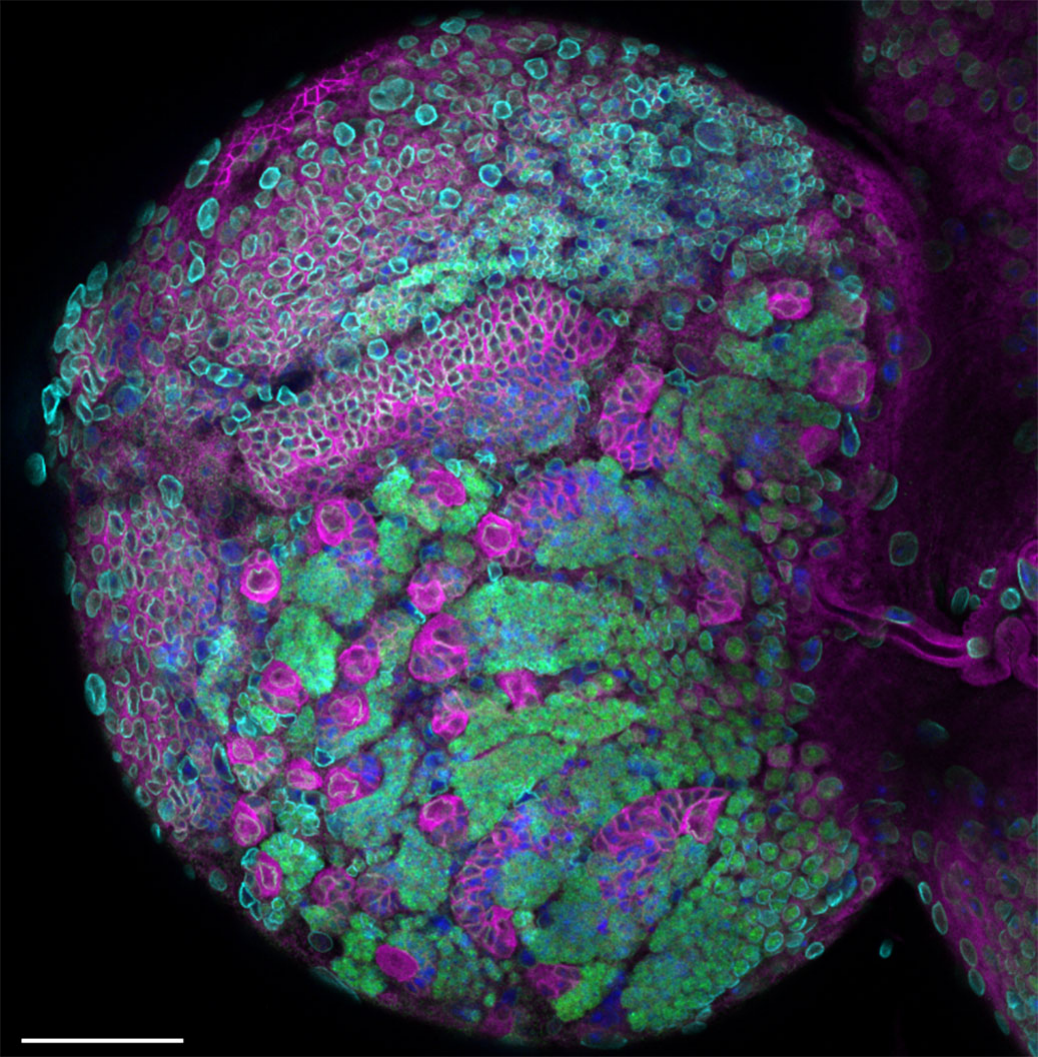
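This is a round brain lobe of a fly larva, crowded with cells of very unequal sizes. Large round cells with bright magenta outlines are scattered across the lower and central part of the lobe, each far larger than its neighbours; these are neural stem cells. In the upper part of the lobe, a field of small cells with a fine magenta honeycomb of cell borders forms a sheet of its own, and larger cyan-ringed nuclei are spread over the surface.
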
